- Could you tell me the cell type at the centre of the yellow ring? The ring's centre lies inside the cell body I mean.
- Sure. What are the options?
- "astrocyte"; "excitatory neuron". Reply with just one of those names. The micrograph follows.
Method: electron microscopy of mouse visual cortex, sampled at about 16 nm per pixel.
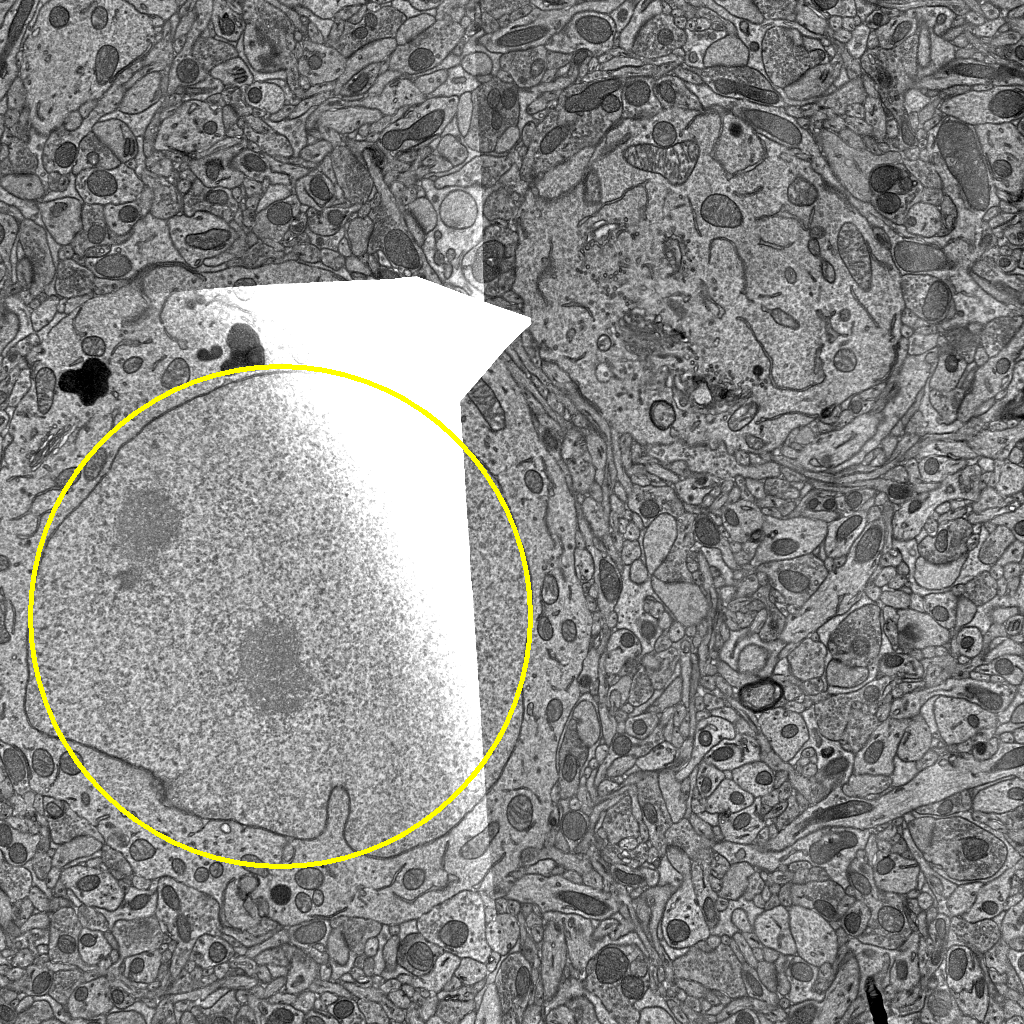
excitatory neuron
